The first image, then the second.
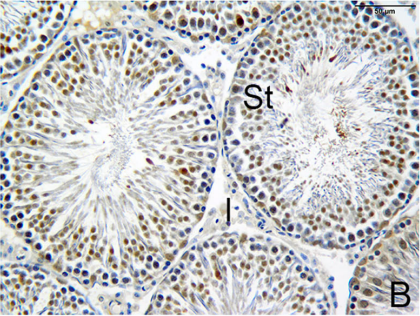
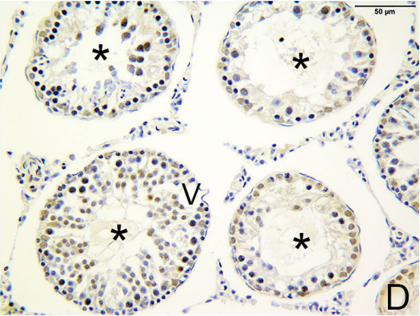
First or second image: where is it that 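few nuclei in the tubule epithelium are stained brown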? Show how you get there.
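First image: large tubules with thick epithelium and many brown nuclei. So: the second image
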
